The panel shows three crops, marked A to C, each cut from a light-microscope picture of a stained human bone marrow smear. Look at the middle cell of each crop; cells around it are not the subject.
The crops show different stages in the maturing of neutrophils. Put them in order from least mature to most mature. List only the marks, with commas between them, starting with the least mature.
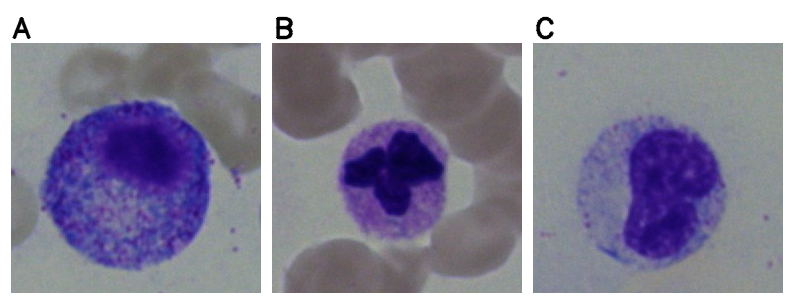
A, C, B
